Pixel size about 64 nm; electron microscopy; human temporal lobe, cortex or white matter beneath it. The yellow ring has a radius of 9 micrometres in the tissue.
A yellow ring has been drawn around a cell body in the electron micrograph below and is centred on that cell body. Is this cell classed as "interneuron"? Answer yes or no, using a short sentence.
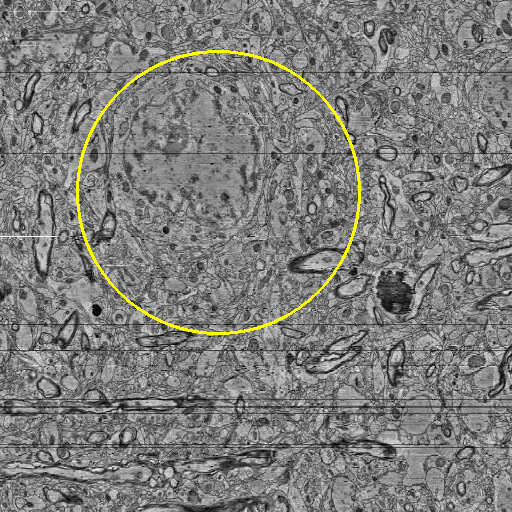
Yes, it is classed as that kind.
